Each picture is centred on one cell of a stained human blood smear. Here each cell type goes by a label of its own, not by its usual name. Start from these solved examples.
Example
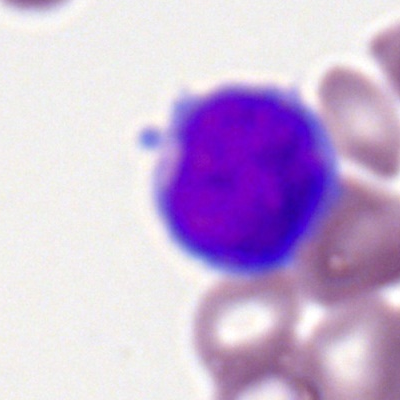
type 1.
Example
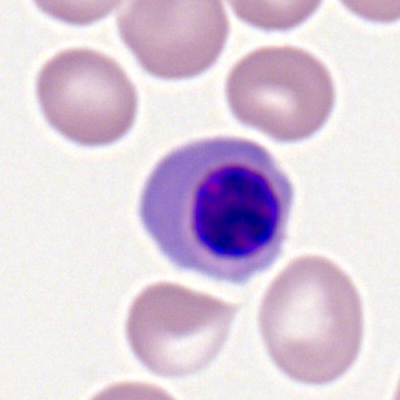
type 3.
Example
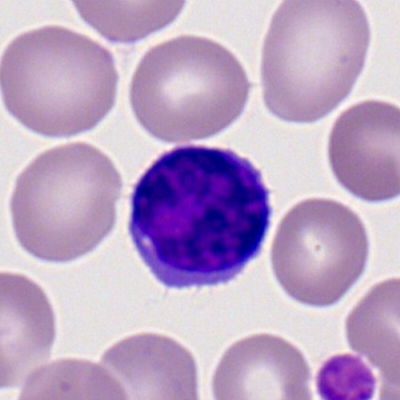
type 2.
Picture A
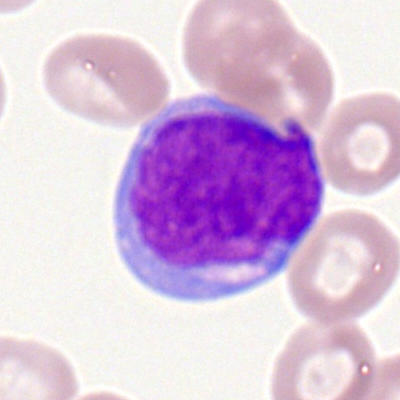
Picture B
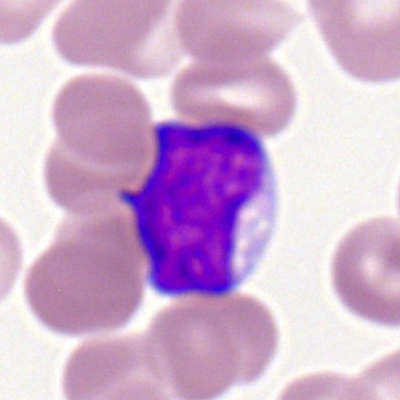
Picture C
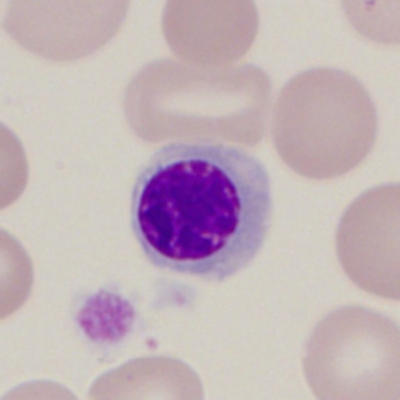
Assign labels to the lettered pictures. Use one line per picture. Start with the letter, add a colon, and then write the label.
A: type 1.
B: type 2.
C: type 3.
